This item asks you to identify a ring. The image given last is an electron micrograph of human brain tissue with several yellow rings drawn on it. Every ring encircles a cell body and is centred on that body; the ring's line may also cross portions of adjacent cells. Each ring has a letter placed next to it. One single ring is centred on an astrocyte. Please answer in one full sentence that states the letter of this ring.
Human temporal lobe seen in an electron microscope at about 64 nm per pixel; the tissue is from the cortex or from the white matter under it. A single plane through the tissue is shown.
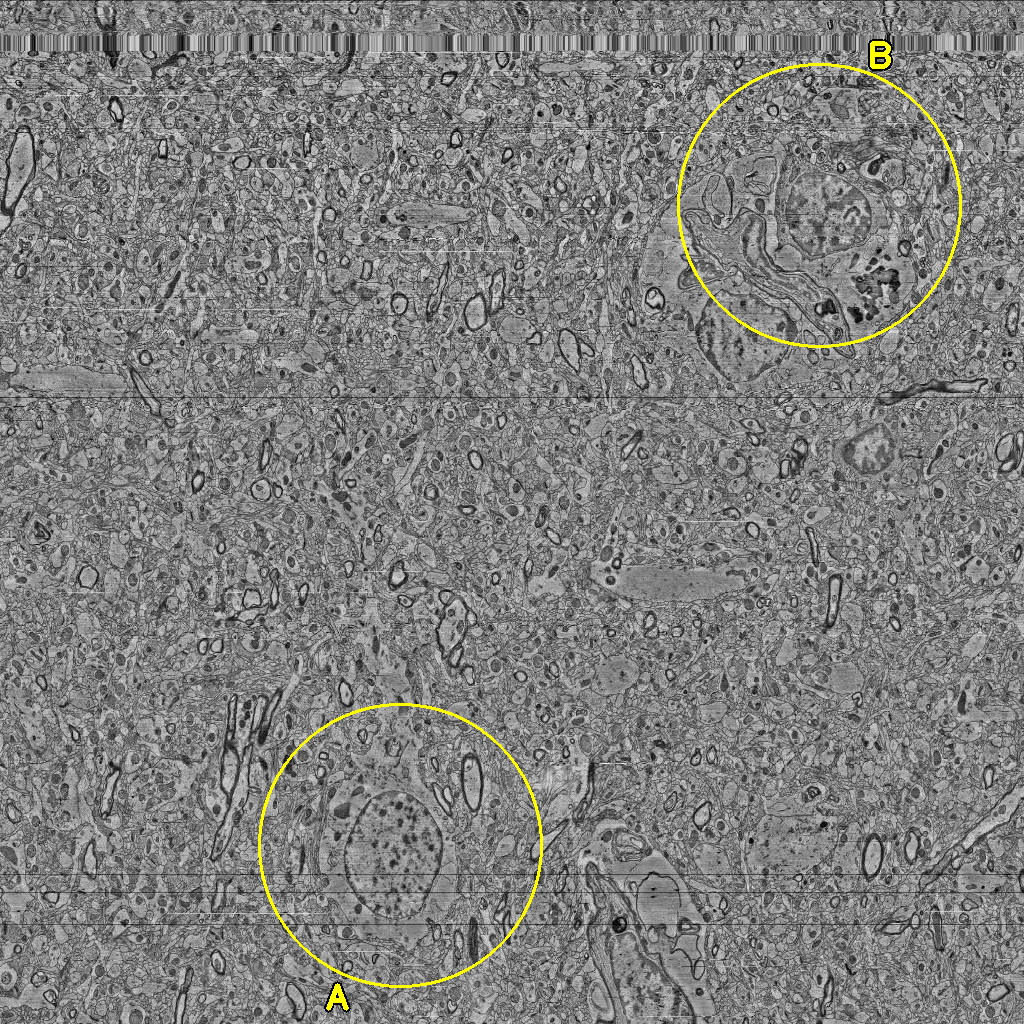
My answer is letter A, the ring centred on the cell asked for.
